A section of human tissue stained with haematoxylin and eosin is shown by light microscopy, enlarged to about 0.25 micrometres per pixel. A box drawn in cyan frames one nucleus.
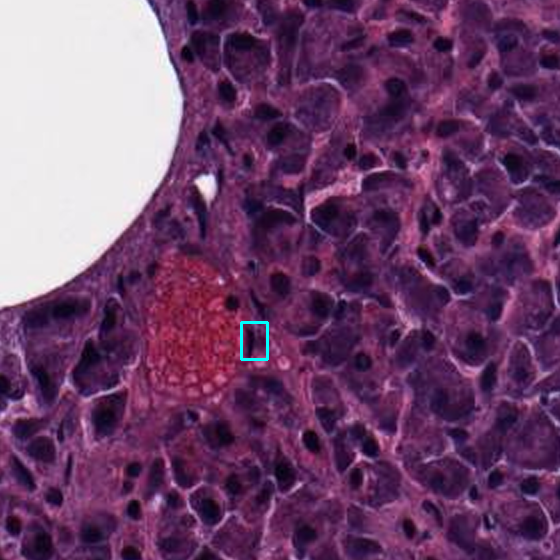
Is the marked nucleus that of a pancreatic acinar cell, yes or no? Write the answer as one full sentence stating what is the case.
No, the marked nucleus belongs to a supporting cell of connective tissue, a vessel or the immune system, not to a pancreatic acinar cell.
